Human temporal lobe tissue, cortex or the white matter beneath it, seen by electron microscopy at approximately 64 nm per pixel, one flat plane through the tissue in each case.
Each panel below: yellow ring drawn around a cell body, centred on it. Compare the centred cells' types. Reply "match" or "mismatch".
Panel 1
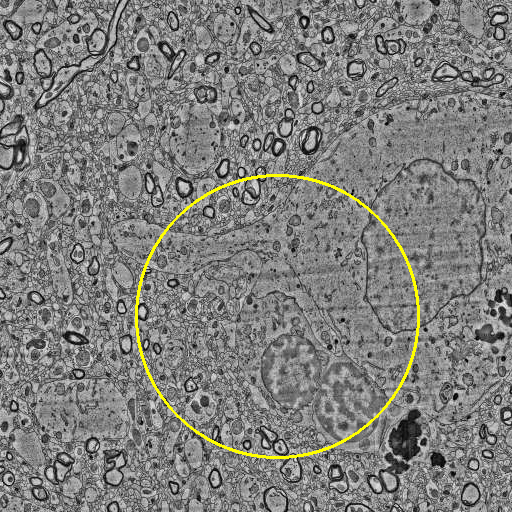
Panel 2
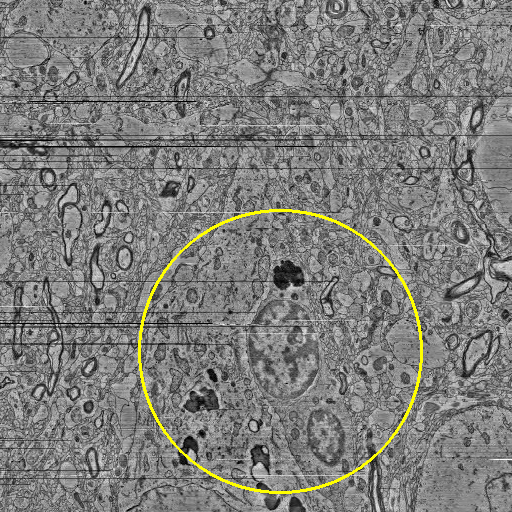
match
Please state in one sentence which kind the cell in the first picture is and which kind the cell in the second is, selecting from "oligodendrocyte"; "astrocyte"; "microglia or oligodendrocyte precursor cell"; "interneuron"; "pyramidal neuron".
Each cell, in the first picture and the second, is an oligodendrocyte.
